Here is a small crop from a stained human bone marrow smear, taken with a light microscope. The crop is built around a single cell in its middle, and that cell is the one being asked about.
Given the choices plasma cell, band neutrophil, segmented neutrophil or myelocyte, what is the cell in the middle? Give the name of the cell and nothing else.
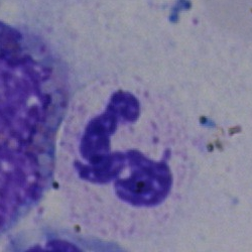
segmented neutrophil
